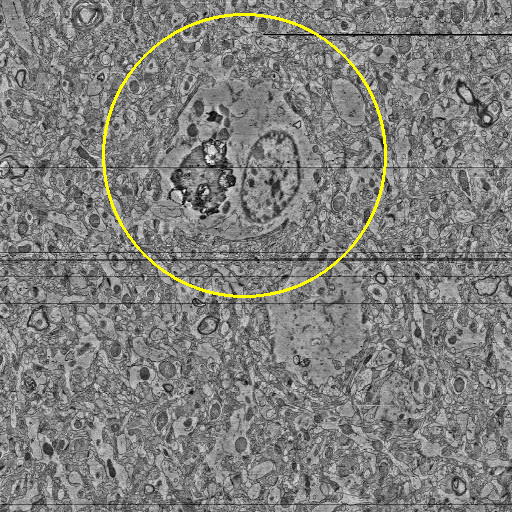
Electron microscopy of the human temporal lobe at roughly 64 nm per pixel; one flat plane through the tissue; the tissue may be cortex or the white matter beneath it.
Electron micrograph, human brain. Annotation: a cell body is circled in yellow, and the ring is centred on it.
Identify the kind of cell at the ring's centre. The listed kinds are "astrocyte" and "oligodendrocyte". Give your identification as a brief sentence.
The circled cell body is that of an astrocyte.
